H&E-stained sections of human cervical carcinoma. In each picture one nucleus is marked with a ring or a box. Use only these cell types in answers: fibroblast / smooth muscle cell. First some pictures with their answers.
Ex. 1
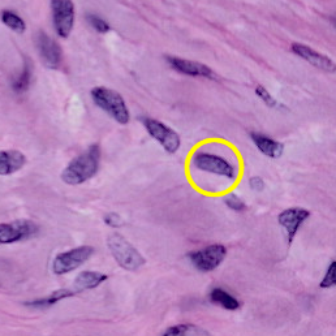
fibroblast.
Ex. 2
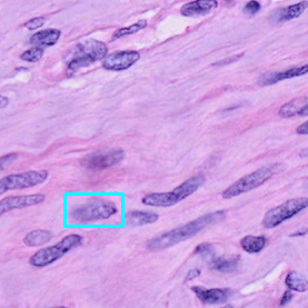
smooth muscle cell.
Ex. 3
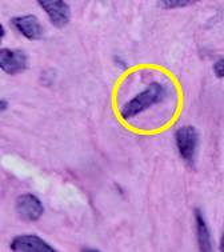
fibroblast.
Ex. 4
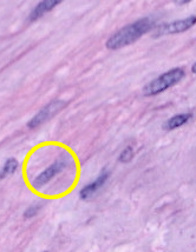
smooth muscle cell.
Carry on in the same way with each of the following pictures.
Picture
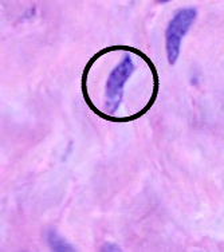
fibroblast.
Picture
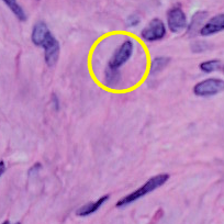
fibroblast.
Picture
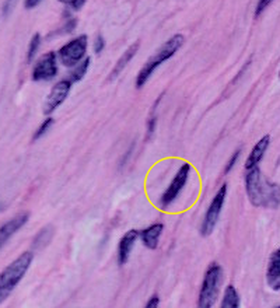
fibroblast.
